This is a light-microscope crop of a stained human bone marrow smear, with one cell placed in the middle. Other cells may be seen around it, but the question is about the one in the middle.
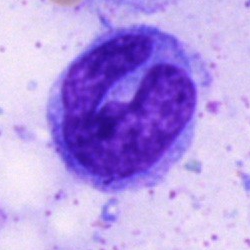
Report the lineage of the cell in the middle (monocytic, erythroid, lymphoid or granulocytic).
monocytic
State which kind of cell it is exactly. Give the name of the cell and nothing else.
monocyte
